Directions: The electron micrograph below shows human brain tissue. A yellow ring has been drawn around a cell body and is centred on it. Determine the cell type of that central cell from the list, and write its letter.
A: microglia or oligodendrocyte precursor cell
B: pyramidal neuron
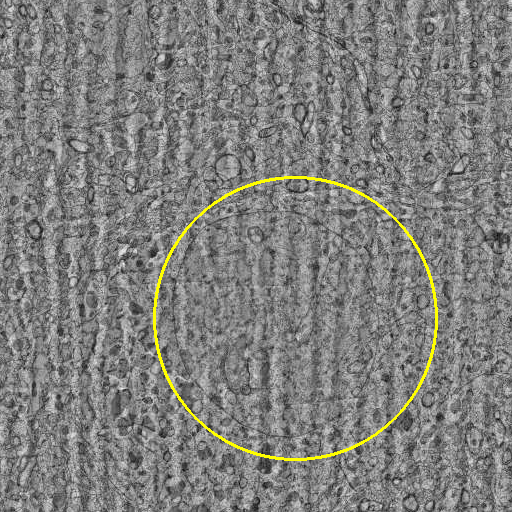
B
